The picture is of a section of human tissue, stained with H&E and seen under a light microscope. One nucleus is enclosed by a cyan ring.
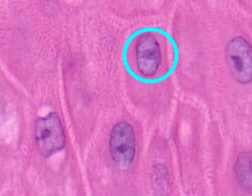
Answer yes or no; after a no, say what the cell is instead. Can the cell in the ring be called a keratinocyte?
Yes.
